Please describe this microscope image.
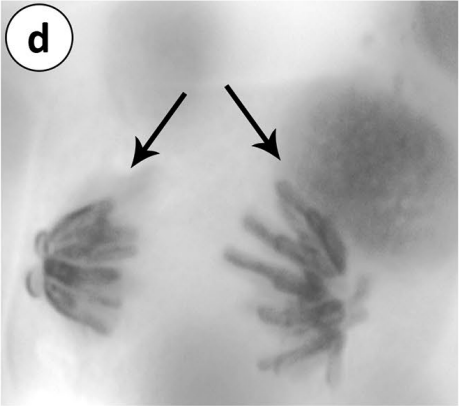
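This shows a dividing cell in which two groups of rod-shaped chromosomes have moved toward opposite ends. The left group is compact, with chromosomes bundled in a fan, while the right group is looser and spreads more widely. The two groups do not look alike in their size and spread, showing that the chromatin has not been shared out evenly. A round resting nucleus lies just beside the right group.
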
